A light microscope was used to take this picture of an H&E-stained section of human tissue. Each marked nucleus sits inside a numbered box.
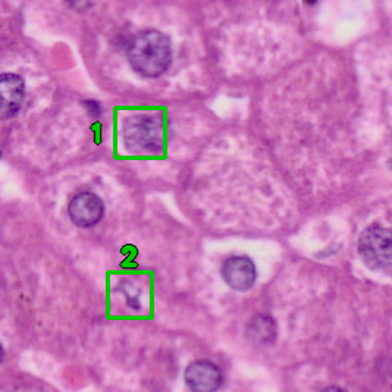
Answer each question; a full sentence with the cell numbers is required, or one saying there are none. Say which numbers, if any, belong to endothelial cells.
Cell 2 is an endothelial cell, and it is the only one.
